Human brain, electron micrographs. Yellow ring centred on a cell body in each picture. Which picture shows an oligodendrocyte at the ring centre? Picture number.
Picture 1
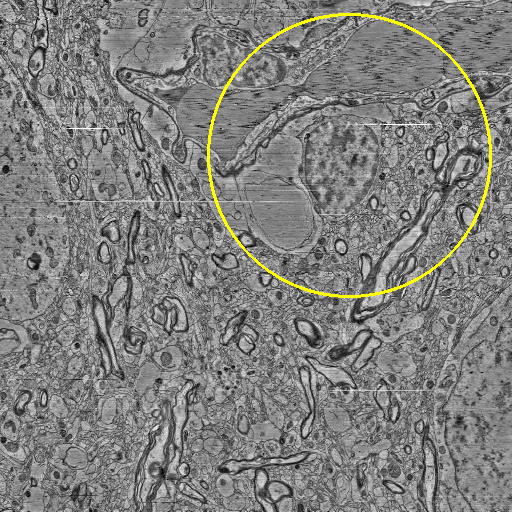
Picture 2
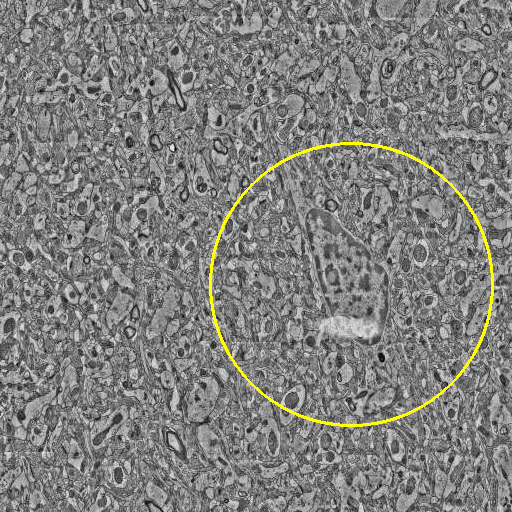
1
